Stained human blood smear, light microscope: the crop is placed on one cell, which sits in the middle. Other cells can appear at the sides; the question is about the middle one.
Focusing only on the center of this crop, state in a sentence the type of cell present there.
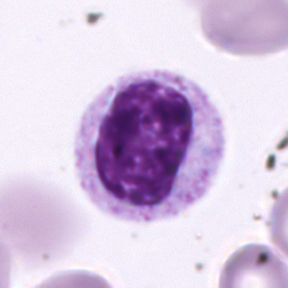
Centrally within this crop lies a metamyelocyte.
